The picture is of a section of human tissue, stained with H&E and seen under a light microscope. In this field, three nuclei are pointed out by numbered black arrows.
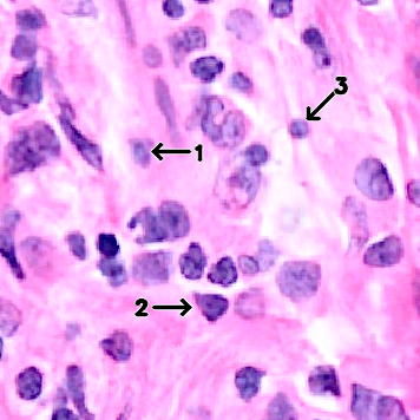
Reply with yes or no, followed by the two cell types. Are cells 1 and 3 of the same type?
No, cell 1 is an endothelial cell and cell 3 is a lymphocyte.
